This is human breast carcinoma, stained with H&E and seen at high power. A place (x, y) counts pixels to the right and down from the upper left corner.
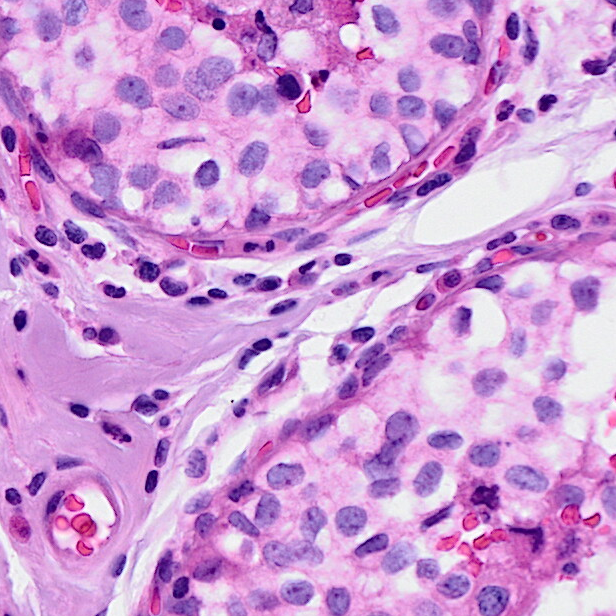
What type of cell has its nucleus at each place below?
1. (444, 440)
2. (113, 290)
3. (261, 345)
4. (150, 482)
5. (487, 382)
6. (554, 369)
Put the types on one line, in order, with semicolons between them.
carcinoma cell; lymphocyte; lymphocyte; lymphocyte; carcinoma cell; carcinoma cell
